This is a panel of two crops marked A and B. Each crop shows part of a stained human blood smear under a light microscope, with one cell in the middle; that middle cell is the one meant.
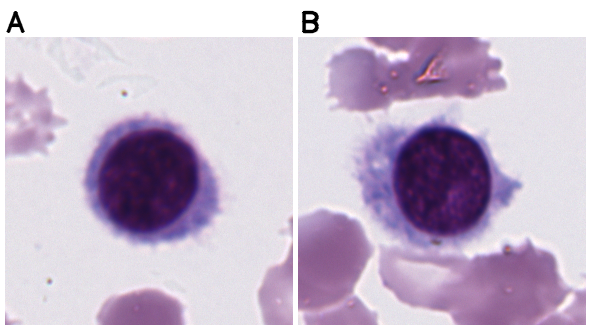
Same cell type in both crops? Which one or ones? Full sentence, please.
Yes, the cells at the centres of the two crops are hairy cells.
